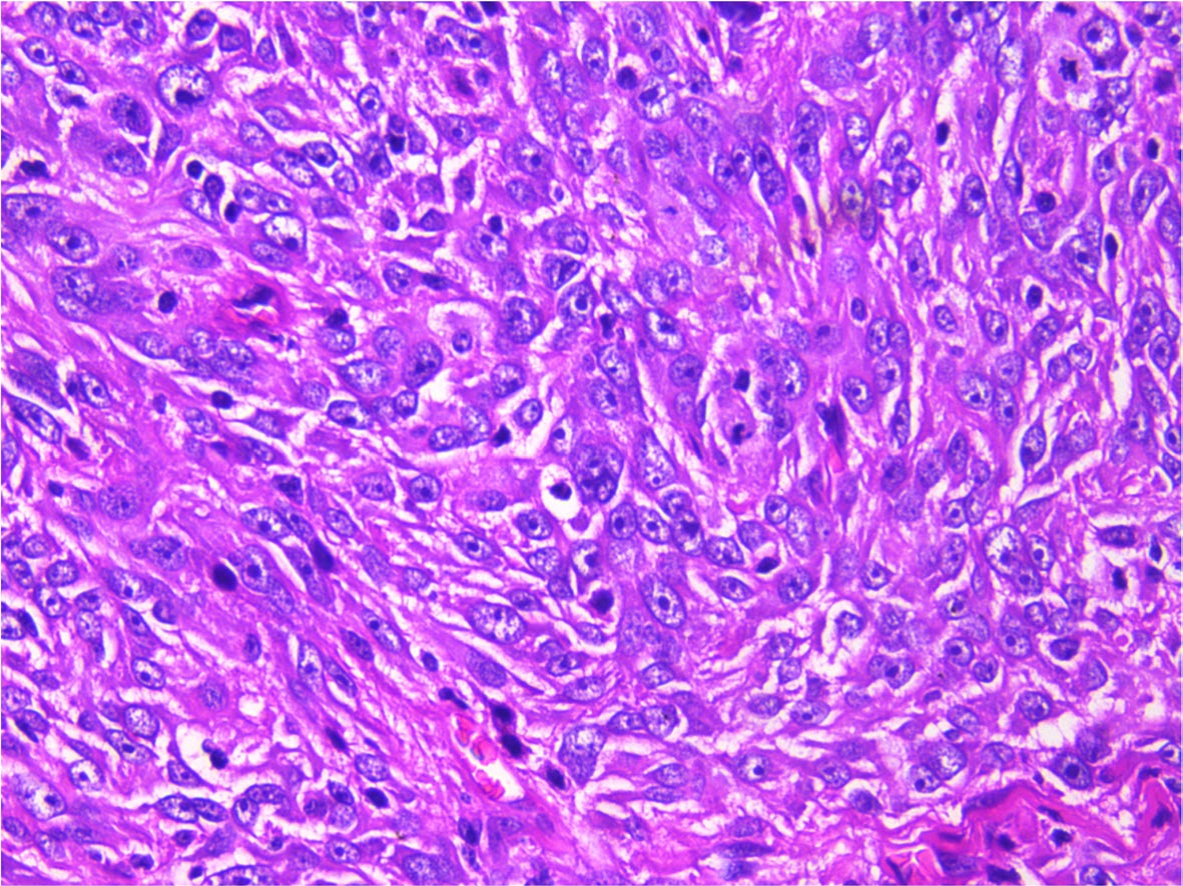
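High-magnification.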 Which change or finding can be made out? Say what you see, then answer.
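Spindle, circular, or oval shapes. Many cells are elongated with tapering ends, in streaming bundles. Other cells are round to oval. Cell borders are hard to make out between neighbouring cells.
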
